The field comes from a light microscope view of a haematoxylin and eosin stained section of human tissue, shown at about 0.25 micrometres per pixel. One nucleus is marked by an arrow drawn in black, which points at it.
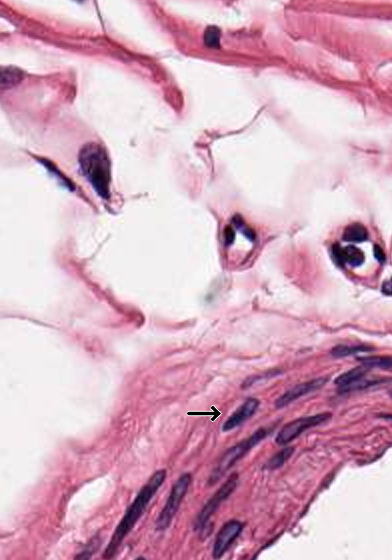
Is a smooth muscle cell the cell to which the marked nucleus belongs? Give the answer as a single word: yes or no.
yes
